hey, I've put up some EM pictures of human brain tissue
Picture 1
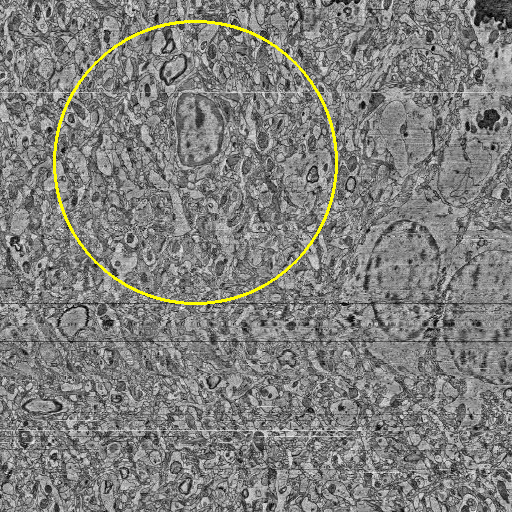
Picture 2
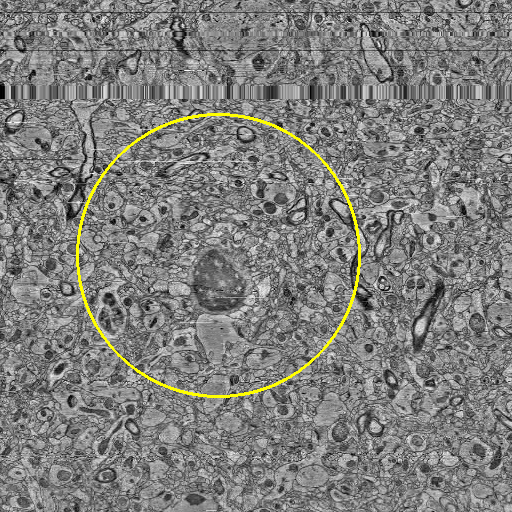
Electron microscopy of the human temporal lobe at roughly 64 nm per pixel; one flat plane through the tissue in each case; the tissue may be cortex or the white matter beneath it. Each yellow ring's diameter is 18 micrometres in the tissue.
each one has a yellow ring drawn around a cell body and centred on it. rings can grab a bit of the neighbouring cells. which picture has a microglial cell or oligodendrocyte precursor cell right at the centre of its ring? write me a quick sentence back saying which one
It's Picture 1.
